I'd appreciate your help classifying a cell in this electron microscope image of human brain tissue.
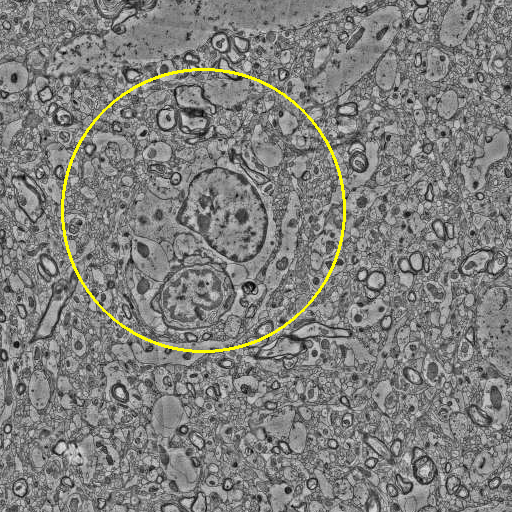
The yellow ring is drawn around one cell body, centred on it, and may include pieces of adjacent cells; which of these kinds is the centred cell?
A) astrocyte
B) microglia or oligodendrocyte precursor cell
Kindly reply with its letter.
B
